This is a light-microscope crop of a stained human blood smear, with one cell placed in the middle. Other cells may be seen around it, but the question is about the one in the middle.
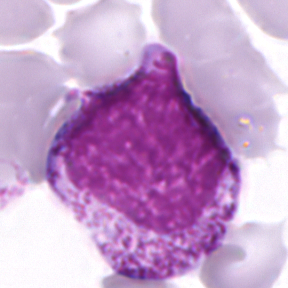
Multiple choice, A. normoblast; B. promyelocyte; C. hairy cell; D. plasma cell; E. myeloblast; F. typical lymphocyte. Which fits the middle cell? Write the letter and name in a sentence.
Given that the cell in the middle is a promyelocyte, option B is correct.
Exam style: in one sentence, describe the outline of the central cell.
Around its circumference, the cell has an uneven edge, ragged or projecting in places.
